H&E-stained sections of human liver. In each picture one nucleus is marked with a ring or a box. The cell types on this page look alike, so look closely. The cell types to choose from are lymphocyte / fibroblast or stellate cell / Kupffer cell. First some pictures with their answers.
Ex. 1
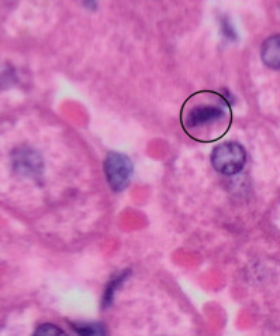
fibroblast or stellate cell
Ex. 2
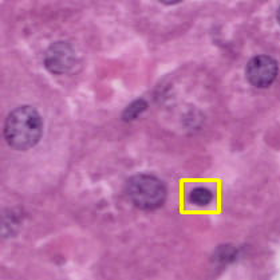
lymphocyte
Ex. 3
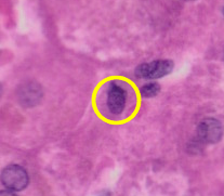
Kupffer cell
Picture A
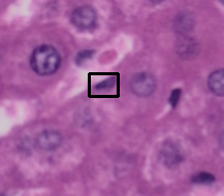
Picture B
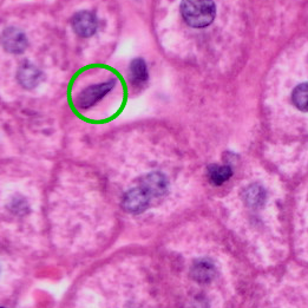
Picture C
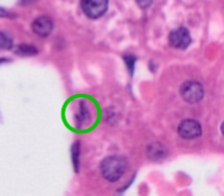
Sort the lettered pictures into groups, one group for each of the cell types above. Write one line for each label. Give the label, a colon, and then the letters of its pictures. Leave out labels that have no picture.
fibroblast or stellate cell: A, C
Kupffer cell: B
